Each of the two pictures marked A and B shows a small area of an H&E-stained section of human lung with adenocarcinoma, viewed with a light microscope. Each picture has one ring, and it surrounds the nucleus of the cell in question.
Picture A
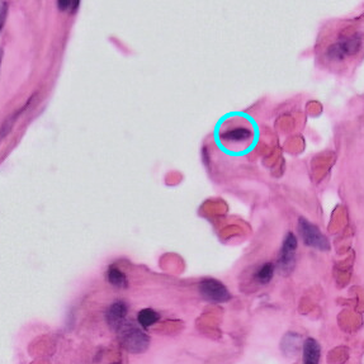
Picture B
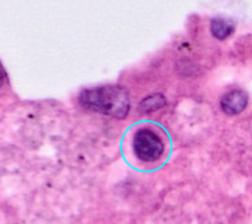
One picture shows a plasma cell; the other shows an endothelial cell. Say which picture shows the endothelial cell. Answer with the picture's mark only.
A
